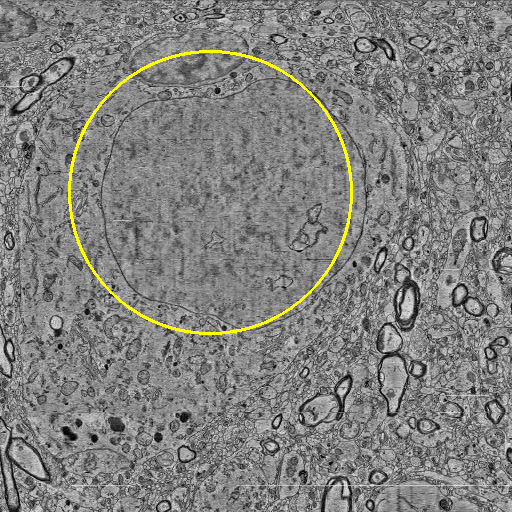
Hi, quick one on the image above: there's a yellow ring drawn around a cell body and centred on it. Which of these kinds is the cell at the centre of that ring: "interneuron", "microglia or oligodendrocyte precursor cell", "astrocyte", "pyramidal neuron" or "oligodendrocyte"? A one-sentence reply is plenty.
The cell at the centre of the ring is a pyramidal neuron.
